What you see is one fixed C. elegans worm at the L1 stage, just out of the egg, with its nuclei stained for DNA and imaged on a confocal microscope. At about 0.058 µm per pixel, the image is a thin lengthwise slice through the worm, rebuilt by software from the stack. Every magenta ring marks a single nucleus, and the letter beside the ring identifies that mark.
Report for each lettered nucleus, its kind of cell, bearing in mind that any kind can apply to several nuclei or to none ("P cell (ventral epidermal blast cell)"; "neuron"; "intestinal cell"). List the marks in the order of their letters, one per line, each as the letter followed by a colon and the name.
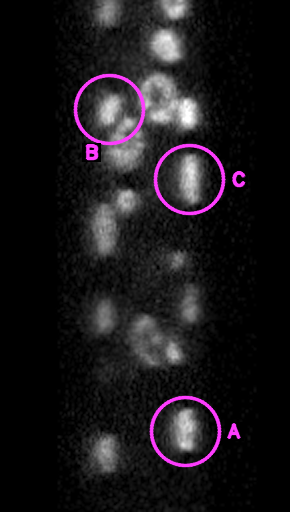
A: P cell (ventral epidermal blast cell)
B: neuron
C: P cell (ventral epidermal blast cell)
